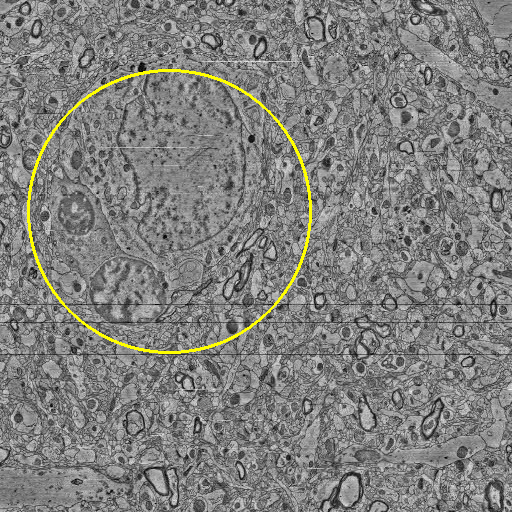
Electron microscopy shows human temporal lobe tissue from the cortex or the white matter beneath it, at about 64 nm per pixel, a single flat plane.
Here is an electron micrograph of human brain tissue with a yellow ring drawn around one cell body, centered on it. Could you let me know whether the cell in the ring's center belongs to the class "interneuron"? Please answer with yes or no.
yes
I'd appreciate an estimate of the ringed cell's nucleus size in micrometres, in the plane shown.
The nucleus of the ringed cell is approximately 12 by 8 micrometres in this plane.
